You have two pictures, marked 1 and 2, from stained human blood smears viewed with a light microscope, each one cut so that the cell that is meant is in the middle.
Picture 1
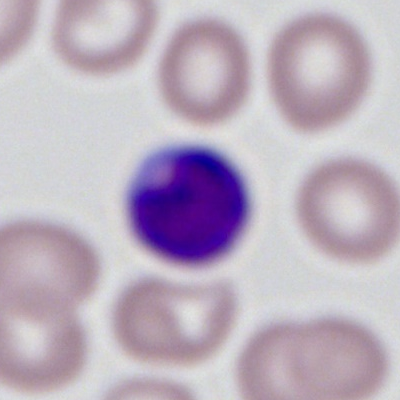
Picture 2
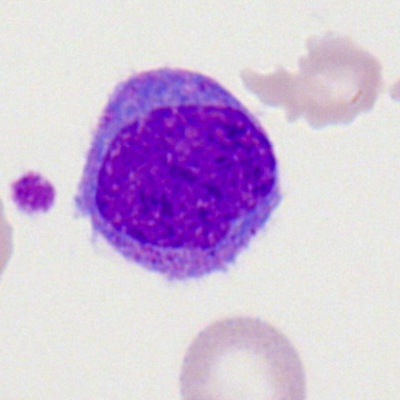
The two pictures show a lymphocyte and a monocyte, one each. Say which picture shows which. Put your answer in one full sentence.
In picture 1 the cell is a lymphocyte; in picture 2, a monocyte.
